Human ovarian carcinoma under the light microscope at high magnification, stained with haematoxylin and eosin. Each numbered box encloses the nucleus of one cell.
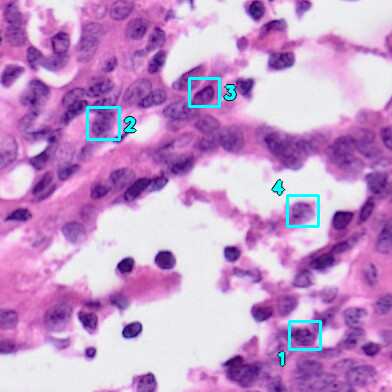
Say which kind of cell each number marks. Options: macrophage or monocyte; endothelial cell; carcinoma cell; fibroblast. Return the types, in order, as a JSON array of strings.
["carcinoma cell", "carcinoma cell", "carcinoma cell", "macrophage or monocyte"]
